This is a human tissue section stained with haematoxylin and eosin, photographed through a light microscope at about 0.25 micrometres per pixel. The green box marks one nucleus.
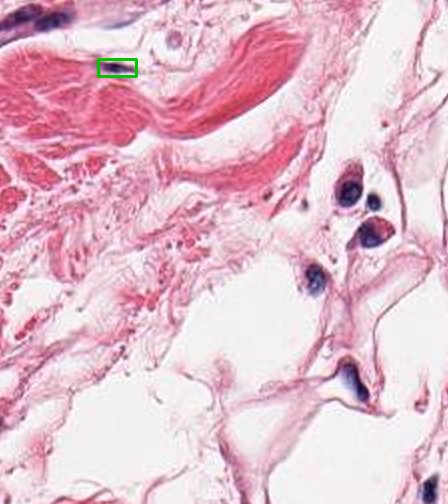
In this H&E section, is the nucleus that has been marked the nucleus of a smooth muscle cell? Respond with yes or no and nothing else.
no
